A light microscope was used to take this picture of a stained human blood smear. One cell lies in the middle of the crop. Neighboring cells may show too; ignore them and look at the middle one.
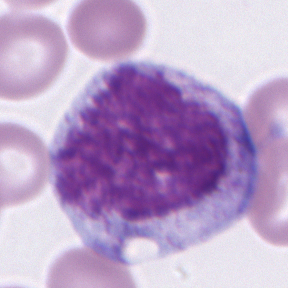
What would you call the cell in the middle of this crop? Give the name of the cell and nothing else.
promyelocyte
